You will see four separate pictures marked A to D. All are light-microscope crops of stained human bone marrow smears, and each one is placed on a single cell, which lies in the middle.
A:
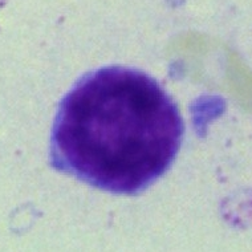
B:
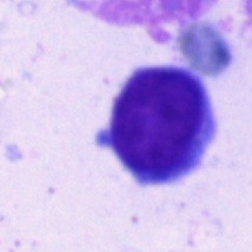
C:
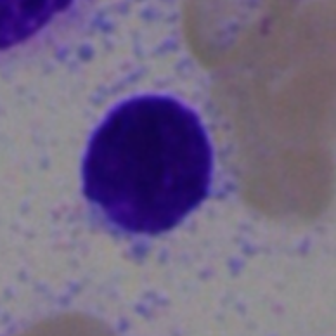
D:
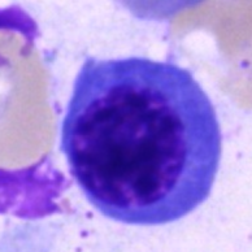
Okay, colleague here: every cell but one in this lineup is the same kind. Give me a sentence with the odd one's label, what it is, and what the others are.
The odd one out is crop D, an erythroblast, and all other crops show lymphocytes.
